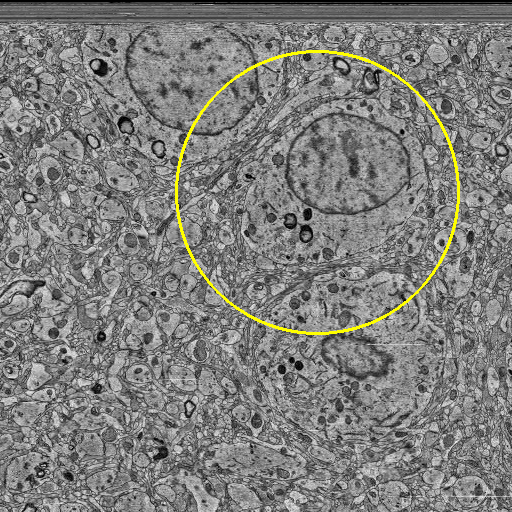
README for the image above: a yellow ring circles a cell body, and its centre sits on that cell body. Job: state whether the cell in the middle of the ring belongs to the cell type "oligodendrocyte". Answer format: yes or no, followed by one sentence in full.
No, in the image, the ring's central cell belongs to another type.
